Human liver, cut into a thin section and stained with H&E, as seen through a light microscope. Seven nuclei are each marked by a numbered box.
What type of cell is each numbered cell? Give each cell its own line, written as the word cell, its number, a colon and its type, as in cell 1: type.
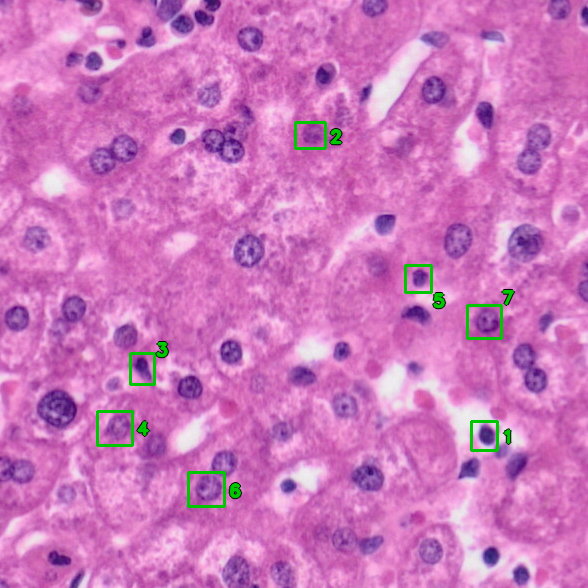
cell 1: lymphocyte
cell 2: hepatocyte
cell 3: fibroblast or stellate cell
cell 4: hepatocyte
cell 5: lymphocyte
cell 6: hepatocyte
cell 7: hepatocyte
